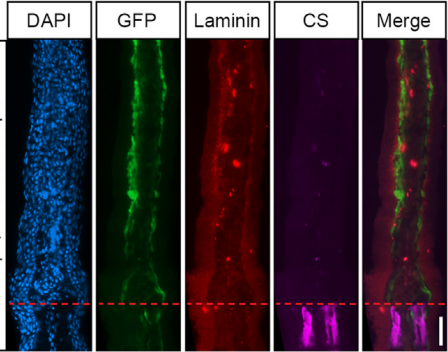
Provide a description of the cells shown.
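The green cells form narrow, irregular and beaded bands that lie close together toward the middle of the ray rather than as smooth lines along its edges. Magenta is almost absent along the regenerate and is seen only as short bright bars at the bottom of the image.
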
